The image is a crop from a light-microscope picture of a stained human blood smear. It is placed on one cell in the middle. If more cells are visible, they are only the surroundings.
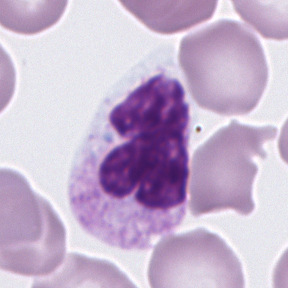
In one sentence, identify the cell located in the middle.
To answer, the cell in the center of the crop is a segmented neutrophil.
